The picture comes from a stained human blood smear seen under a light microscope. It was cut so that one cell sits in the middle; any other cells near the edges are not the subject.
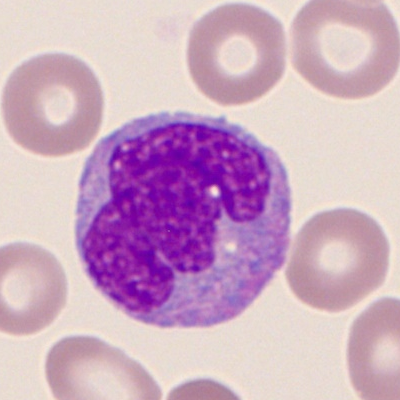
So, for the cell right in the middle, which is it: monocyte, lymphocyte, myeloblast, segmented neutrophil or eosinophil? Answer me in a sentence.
The cell nearest the centre of this crop is a monocyte.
